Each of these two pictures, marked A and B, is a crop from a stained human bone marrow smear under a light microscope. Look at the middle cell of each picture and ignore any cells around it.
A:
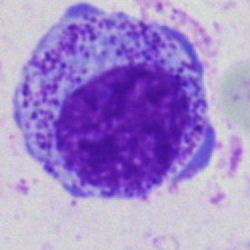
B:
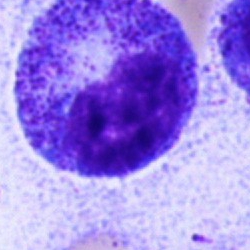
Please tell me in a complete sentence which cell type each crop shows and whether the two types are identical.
Yes, both crops show promyelocytes, the one and the other.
